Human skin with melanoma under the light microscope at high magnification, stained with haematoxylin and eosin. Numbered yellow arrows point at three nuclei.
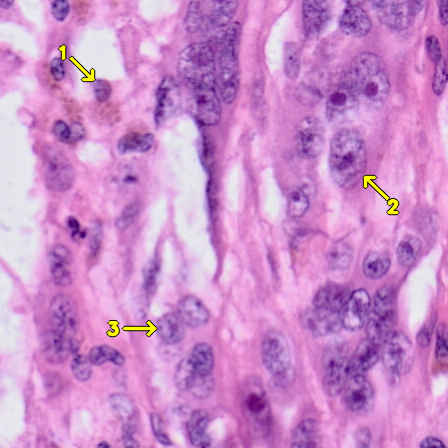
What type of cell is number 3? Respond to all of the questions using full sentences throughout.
Number 3 among the marked cells is a melanoma cell.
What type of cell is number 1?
The numeral 1 marks a macrophage or monocyte in this section.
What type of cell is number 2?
Of the numbered cells, the one labelled 2 is a melanoma cell.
